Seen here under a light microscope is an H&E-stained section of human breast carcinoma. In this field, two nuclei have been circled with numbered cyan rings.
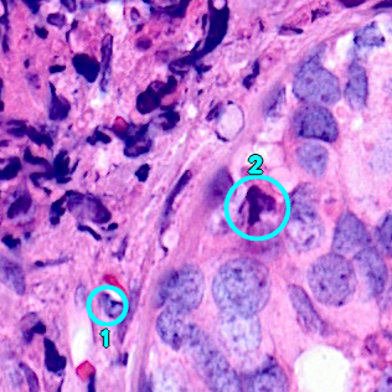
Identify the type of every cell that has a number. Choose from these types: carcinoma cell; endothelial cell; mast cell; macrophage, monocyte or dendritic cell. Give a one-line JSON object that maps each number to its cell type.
{"1": "endothelial cell", "2": "carcinoma cell"}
